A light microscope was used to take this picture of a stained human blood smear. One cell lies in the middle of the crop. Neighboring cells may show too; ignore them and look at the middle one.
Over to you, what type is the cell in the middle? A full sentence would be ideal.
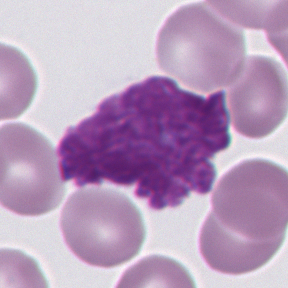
In the centre of this crop there is a smudge cell.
